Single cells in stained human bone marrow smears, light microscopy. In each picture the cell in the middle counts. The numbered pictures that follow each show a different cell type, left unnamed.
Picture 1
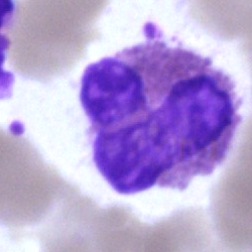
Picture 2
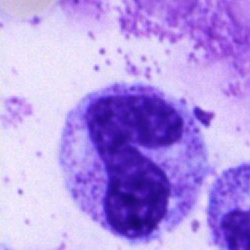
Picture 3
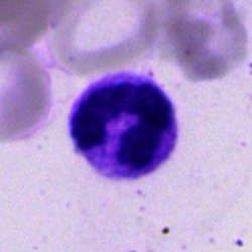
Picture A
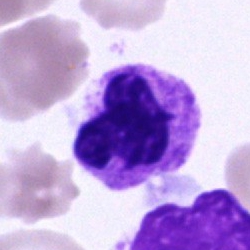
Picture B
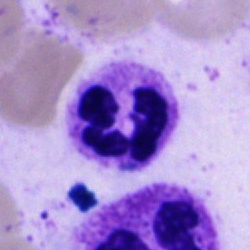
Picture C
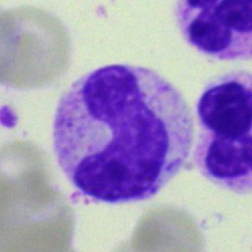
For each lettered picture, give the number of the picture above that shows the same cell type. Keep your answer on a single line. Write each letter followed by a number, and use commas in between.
A 3, B 3, C 2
